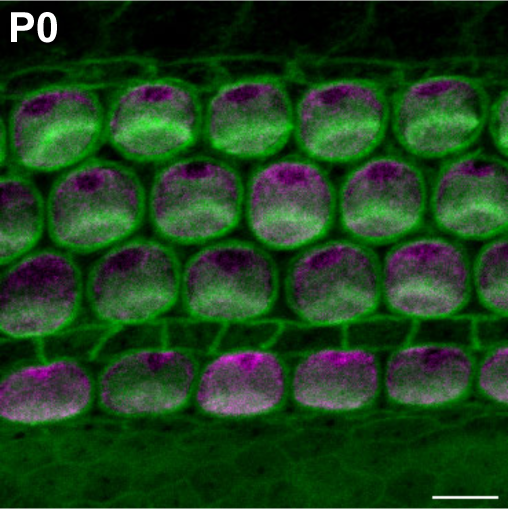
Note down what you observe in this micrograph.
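This is a surface view of a sensory epithelium packed with hair cells laid out in strikingly regular rows: three closely set rows above and a single row below, separated by a band of narrow cells. Between and around the hair cells, thin green lines mark the borders of slender neighbouring cells, giving a tidy mosaic in which the hair cells occupy most of the apical surface.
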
